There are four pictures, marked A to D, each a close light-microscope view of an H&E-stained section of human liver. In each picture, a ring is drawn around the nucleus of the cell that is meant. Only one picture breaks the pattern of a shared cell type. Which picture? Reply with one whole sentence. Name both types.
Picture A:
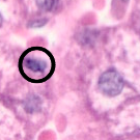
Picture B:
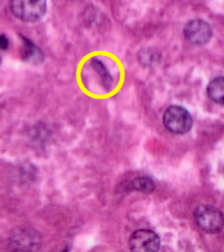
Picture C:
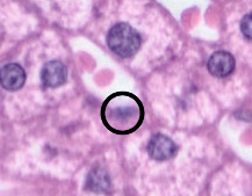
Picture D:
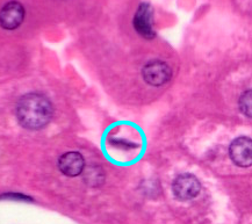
All pictures except A show endothelial cells; picture A shows a “fibroblast or stellate cell”.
